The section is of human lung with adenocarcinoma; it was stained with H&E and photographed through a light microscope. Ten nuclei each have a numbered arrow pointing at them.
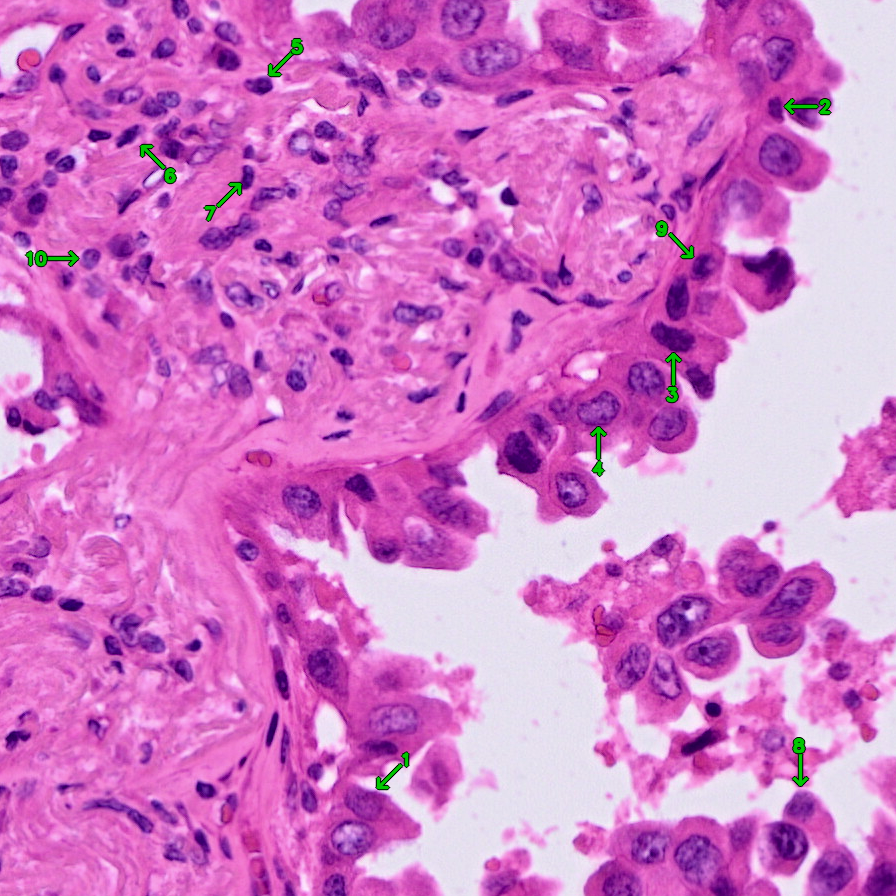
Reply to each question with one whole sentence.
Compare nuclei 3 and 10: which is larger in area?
Nucleus 3 is the larger one, covering about 2.5 times the area of nucleus 10.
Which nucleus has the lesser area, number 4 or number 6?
Number 6 is smaller, since number 4 takes up about 2.5 times as much area.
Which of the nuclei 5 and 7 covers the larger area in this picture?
It is nucleus 5, which covers about 1.5 times the area of nucleus 7.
